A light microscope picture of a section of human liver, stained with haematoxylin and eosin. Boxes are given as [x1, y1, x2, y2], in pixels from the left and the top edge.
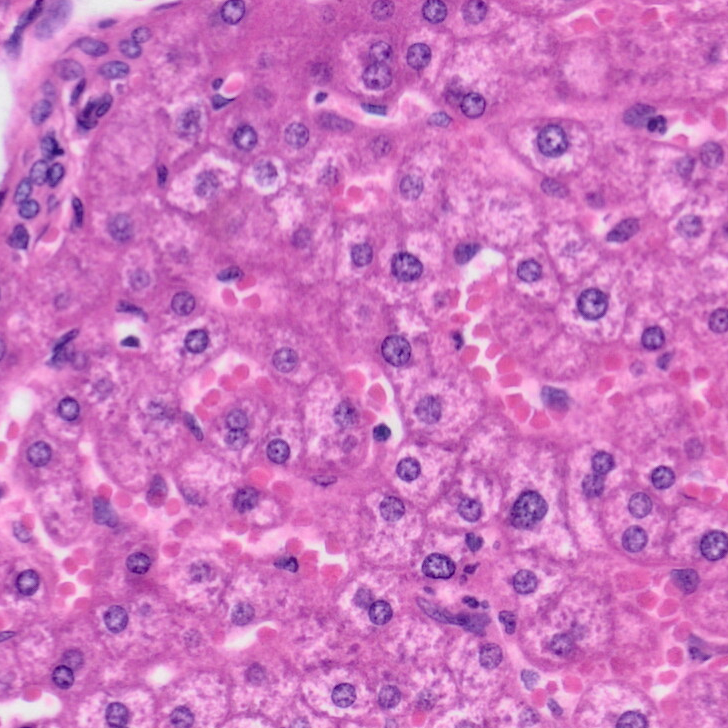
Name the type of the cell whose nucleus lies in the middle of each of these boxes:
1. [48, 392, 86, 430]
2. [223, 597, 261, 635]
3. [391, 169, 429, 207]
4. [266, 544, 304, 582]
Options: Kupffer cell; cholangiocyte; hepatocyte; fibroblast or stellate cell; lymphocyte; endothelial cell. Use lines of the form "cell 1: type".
cell 1: hepatocyte
cell 2: hepatocyte
cell 3: hepatocyte
cell 4: endothelial cell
